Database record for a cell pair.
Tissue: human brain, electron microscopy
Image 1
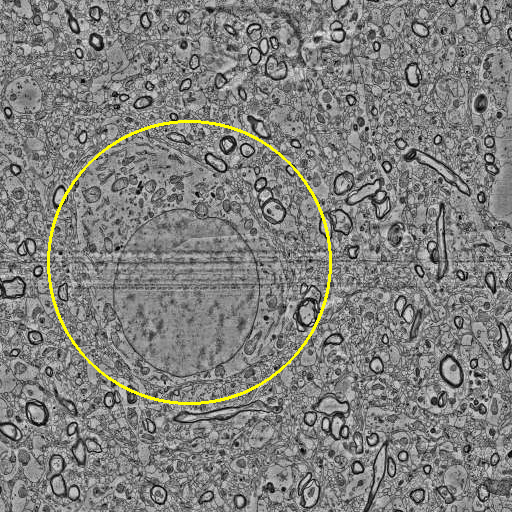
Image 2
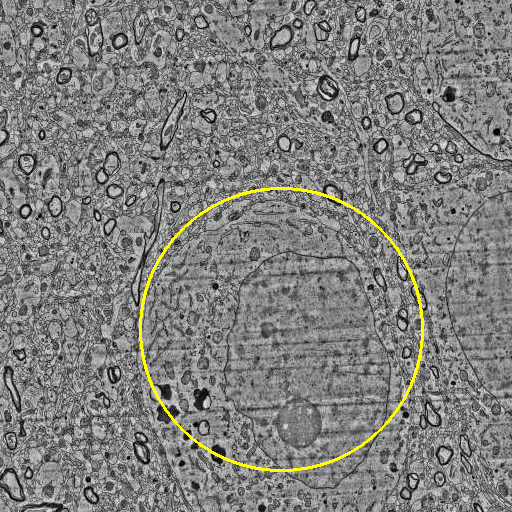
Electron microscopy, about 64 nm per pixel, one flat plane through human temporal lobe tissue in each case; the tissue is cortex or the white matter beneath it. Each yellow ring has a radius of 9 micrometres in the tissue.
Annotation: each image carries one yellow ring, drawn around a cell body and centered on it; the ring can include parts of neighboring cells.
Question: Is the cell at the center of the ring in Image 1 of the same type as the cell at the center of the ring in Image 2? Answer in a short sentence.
No, the cells are of two types.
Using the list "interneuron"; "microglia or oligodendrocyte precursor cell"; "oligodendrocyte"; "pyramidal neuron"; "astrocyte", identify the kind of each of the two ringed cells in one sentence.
The first is an interneuron and the second is a pyramidal neuron.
